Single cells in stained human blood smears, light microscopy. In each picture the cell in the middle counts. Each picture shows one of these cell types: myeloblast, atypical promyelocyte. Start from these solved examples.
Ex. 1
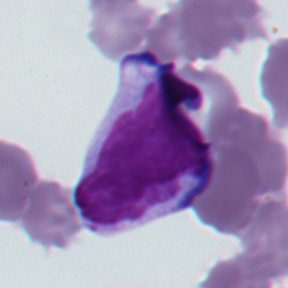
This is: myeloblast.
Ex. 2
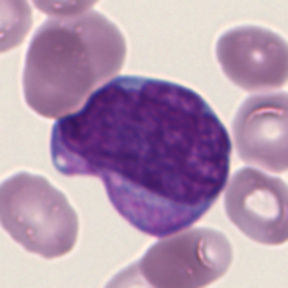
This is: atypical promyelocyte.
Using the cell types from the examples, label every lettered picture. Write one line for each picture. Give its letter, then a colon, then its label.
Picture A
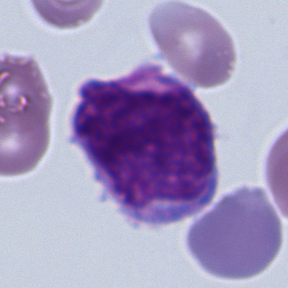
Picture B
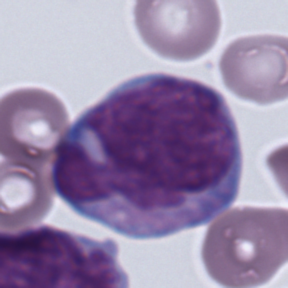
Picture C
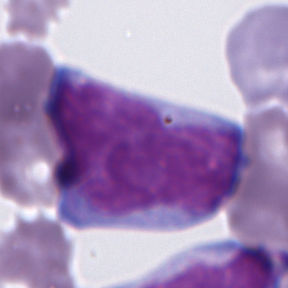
A: atypical promyelocyte.
B: atypical promyelocyte.
C: myeloblast.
